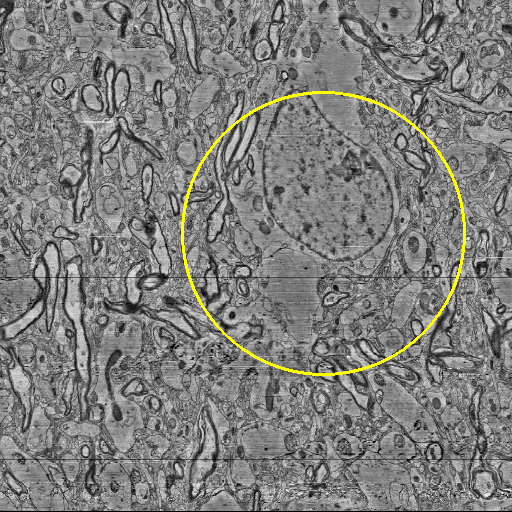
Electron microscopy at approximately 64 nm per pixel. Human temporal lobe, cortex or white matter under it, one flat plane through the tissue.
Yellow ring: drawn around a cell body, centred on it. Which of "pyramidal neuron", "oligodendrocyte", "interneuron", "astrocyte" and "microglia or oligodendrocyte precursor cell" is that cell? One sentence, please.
That cell body is from an astrocyte.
